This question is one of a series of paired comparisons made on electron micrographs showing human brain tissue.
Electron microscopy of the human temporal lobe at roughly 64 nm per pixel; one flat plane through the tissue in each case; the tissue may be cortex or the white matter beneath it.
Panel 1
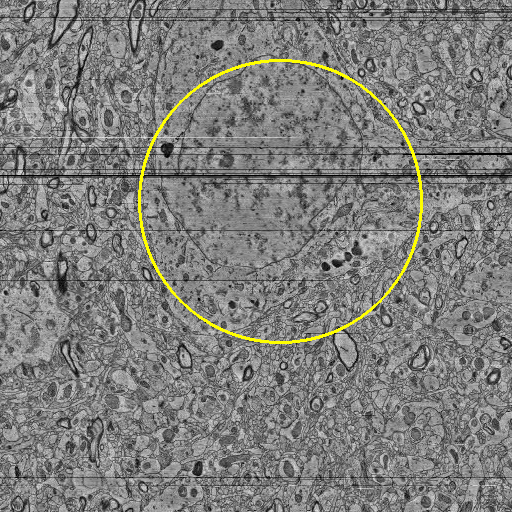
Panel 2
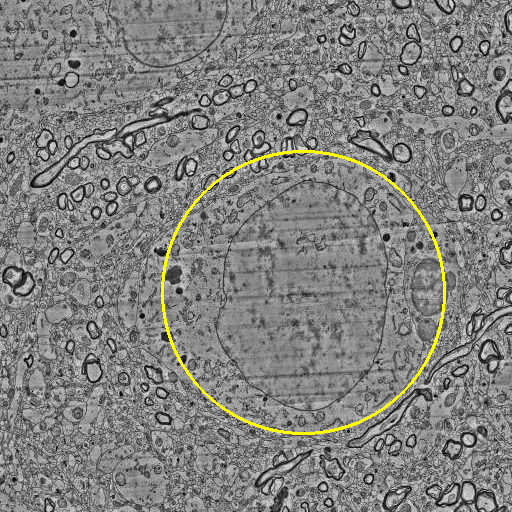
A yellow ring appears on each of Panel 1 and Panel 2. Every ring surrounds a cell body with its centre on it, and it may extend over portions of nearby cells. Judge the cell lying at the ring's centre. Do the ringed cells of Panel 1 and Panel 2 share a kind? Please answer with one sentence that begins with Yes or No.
Yes, the ring-centre cell in Panel 1 and the one in Panel 2 are of one kind.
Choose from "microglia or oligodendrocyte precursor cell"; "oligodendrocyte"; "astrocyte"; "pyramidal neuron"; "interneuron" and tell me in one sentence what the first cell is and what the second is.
The cell at the ring centre is a pyramidal neuron in both pictures.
